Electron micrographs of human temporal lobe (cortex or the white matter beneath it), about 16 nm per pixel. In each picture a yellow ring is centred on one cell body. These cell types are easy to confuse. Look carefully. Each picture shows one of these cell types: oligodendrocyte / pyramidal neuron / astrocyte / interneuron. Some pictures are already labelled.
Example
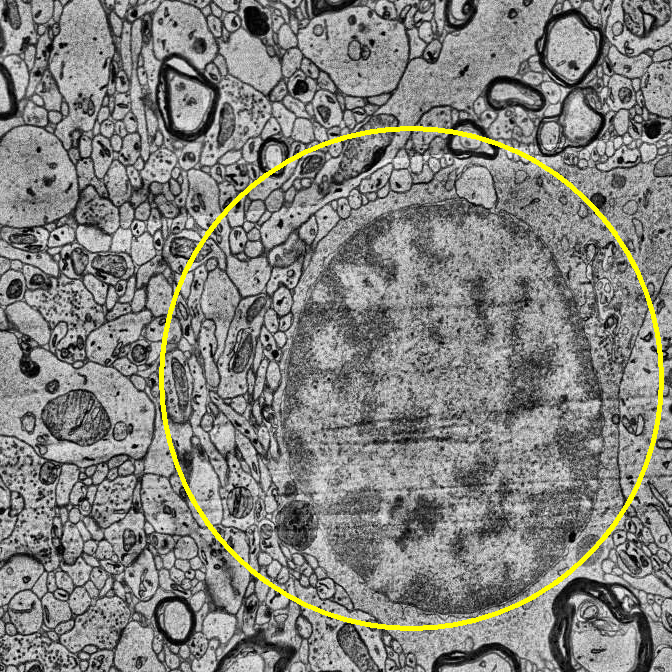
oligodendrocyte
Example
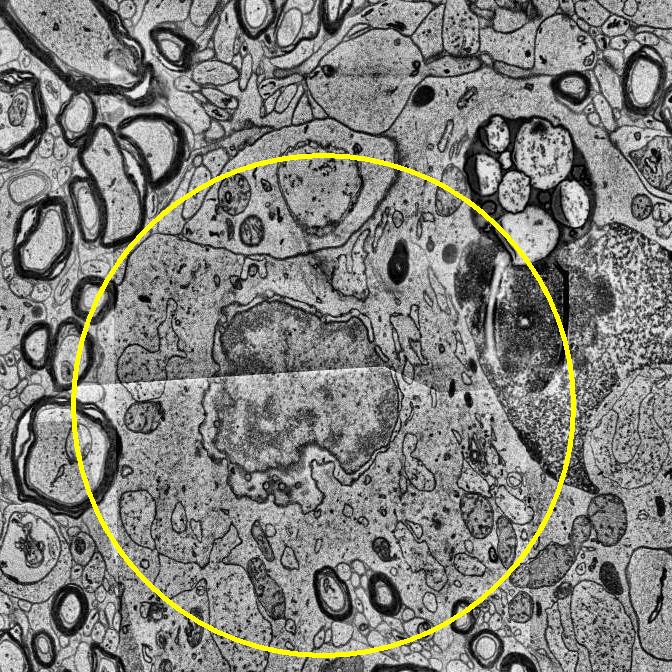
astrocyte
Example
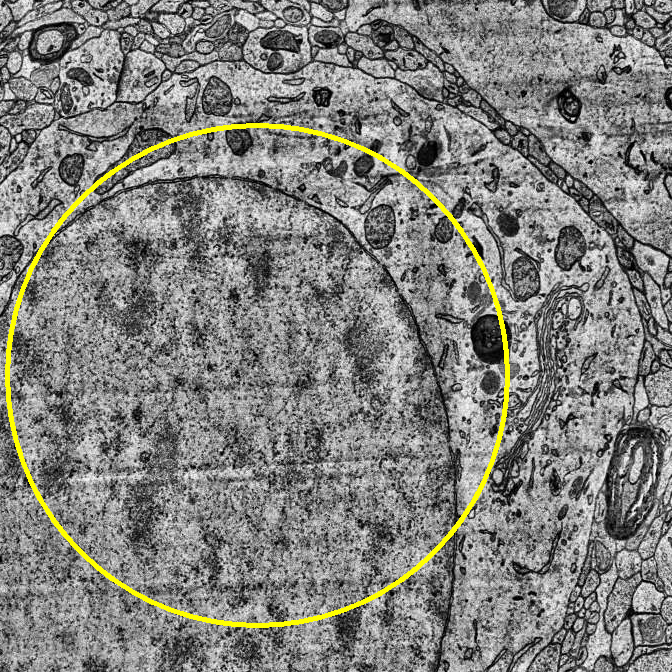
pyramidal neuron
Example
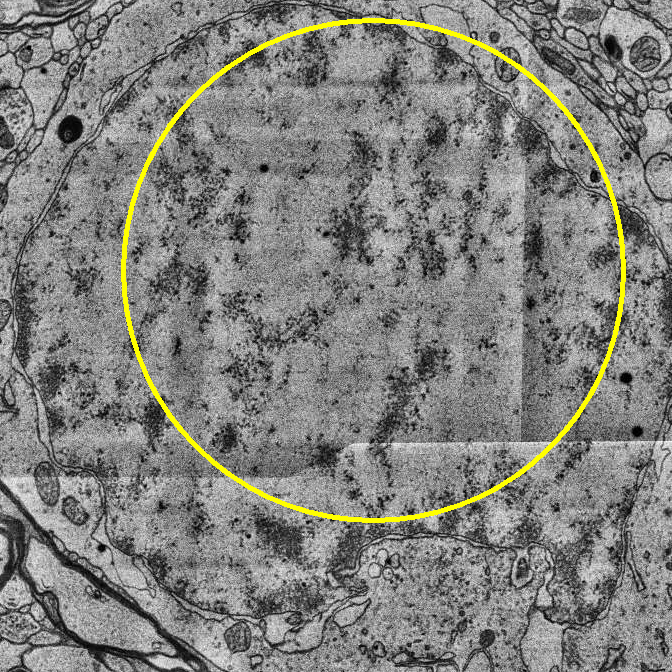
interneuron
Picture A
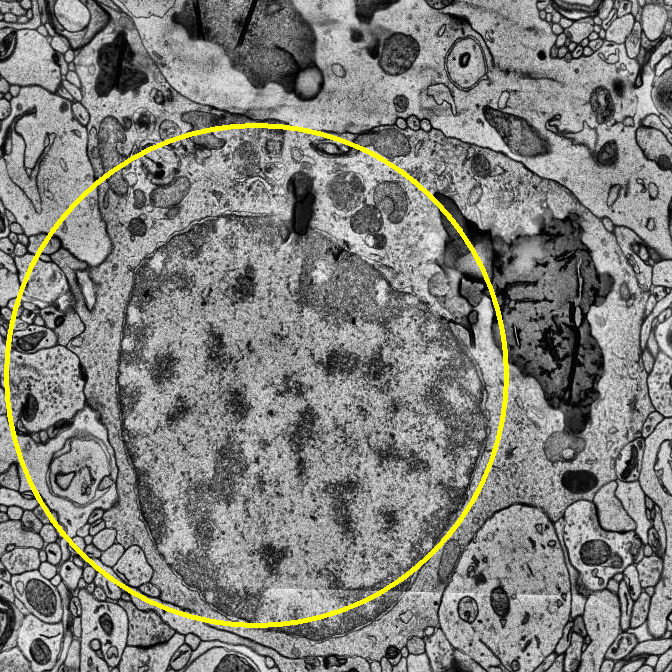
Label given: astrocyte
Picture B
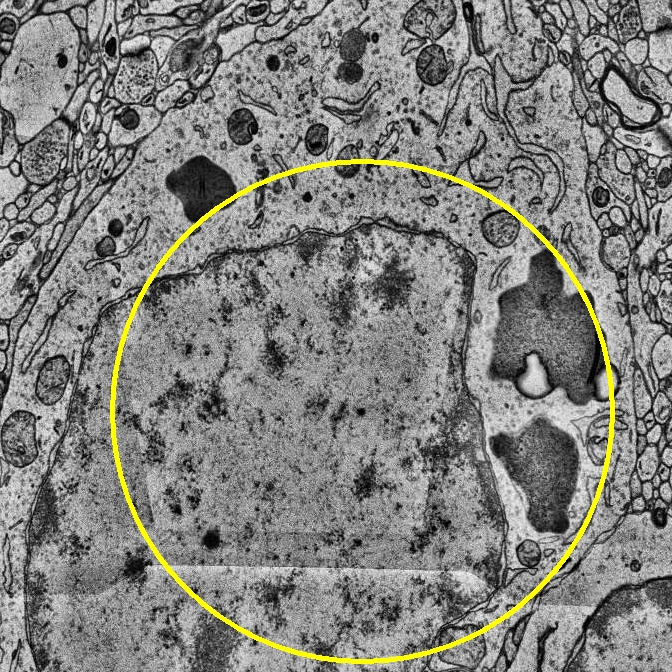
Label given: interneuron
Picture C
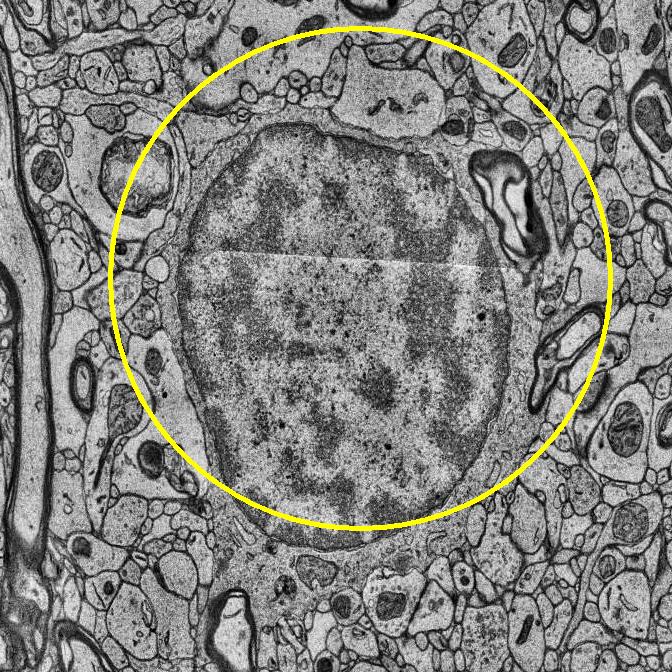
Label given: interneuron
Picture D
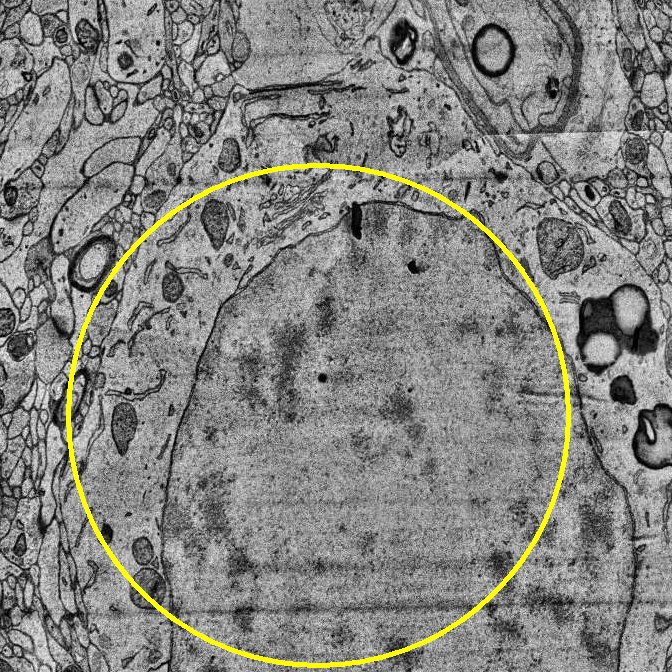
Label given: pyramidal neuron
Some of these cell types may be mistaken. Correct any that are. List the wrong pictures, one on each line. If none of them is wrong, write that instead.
A should be oligodendrocyte, not astrocyte
C should be oligodendrocyte, not interneuron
